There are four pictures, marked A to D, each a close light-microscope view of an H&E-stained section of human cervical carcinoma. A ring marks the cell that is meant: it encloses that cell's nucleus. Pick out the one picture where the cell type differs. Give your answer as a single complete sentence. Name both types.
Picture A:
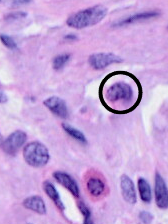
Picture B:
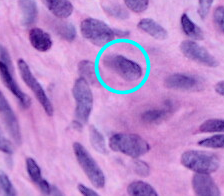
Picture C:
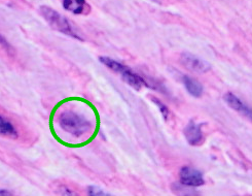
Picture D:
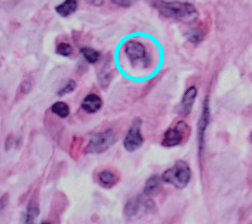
All pictures except B show “macrophages or monocytes”; picture B shows a fibroblast.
